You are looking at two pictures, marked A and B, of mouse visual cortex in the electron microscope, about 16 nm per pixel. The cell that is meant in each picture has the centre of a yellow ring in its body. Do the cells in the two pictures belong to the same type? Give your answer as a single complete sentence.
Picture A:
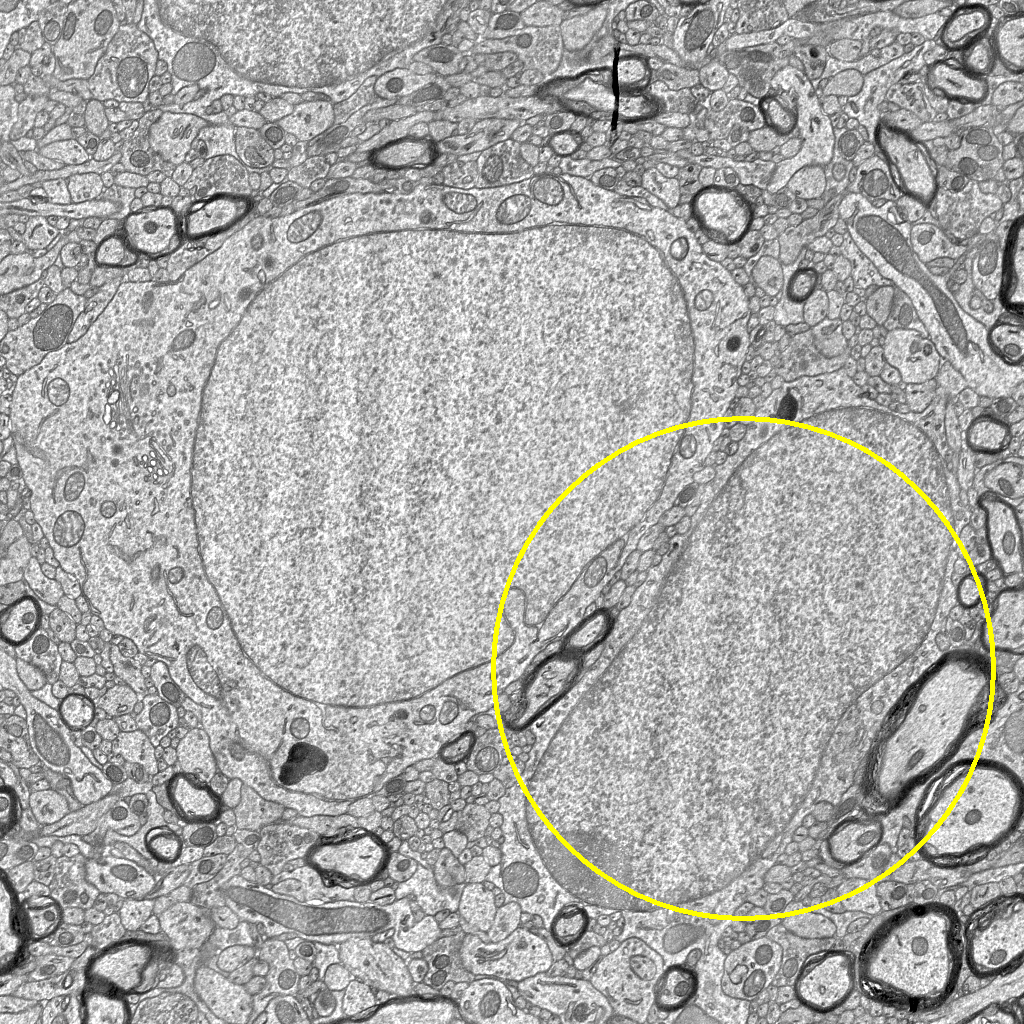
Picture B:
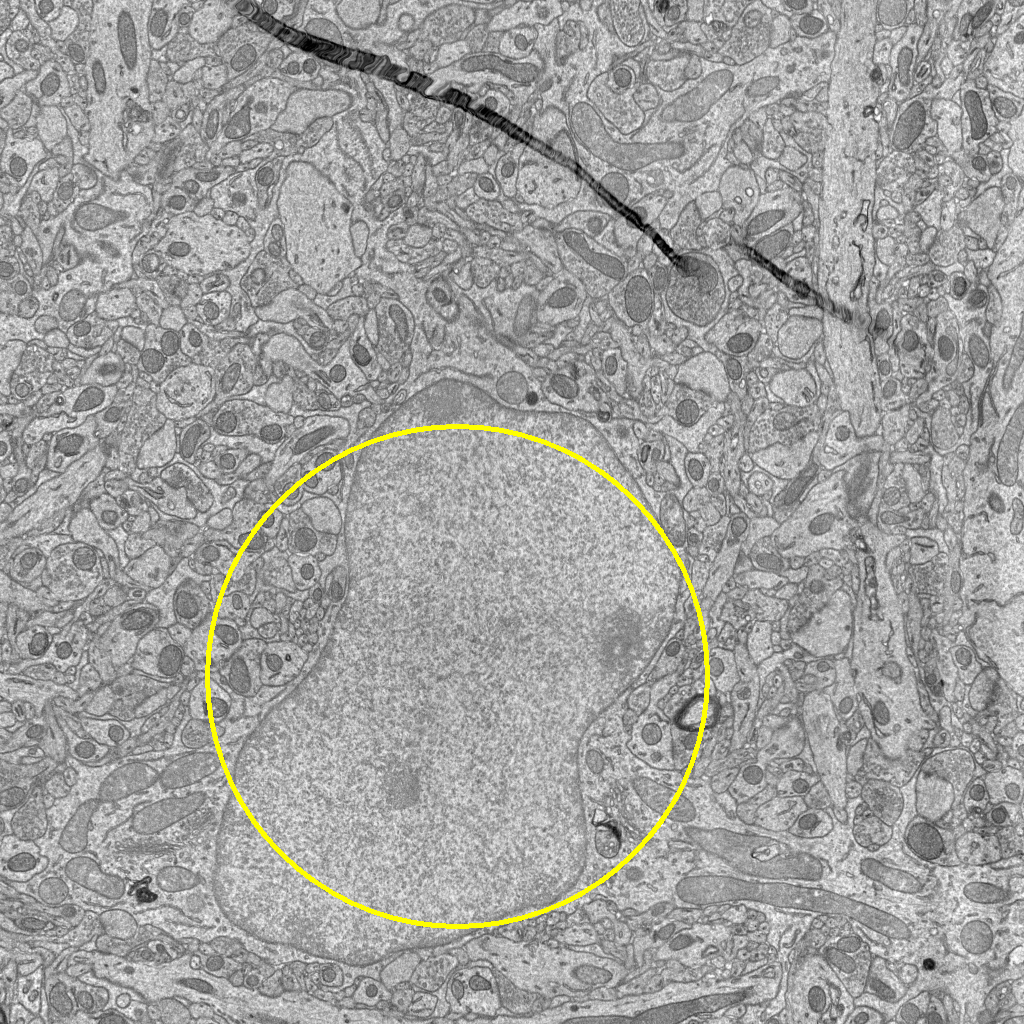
Yes, both cells are astrocytes.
